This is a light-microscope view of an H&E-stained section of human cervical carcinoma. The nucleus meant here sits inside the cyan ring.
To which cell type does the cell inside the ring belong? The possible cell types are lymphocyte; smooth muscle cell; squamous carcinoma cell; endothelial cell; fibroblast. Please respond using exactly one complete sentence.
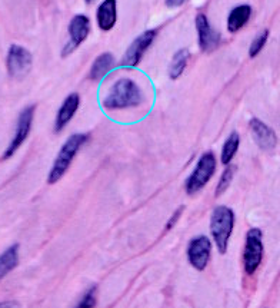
In this field of tissue, the cell inside the ring is a fibroblast.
